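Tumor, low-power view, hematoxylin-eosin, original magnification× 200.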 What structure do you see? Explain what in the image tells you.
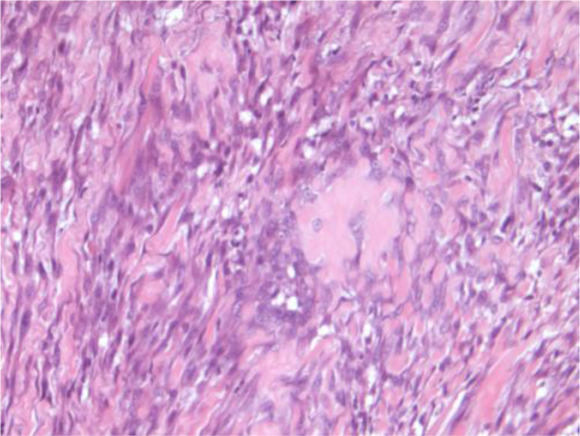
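A pale pink, glassy patch of matrix sits in the centre. Densely packed atypical cells with dark nuclei surround the pink matrix.
Osteoid.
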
